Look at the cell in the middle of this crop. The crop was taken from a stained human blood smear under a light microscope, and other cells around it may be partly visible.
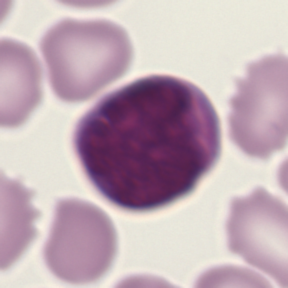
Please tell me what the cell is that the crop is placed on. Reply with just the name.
myeloblast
